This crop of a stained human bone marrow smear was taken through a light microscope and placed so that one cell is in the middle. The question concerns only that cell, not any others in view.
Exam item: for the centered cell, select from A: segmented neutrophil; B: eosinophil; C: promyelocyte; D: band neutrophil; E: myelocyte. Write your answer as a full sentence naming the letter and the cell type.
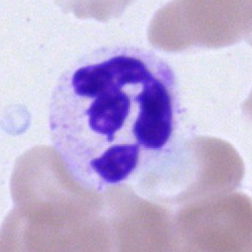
The cell in the middle is correctly identified as a segmented neutrophil in option A.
